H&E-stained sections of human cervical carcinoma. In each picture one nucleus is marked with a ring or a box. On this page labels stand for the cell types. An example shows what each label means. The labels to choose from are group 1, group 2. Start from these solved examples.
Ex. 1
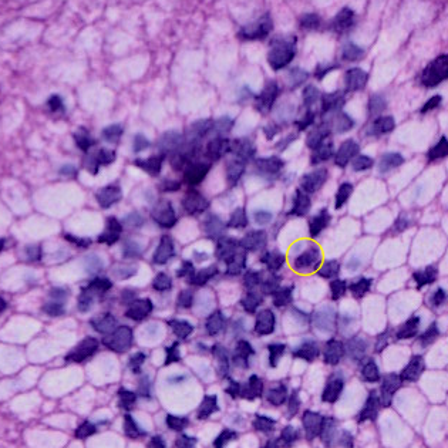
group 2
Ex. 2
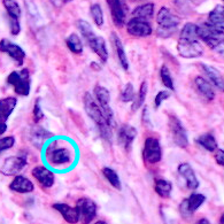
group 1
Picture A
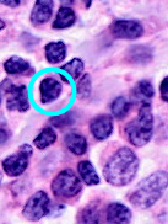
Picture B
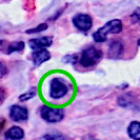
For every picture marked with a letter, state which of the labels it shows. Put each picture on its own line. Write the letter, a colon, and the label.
A: group 1
B: group 1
